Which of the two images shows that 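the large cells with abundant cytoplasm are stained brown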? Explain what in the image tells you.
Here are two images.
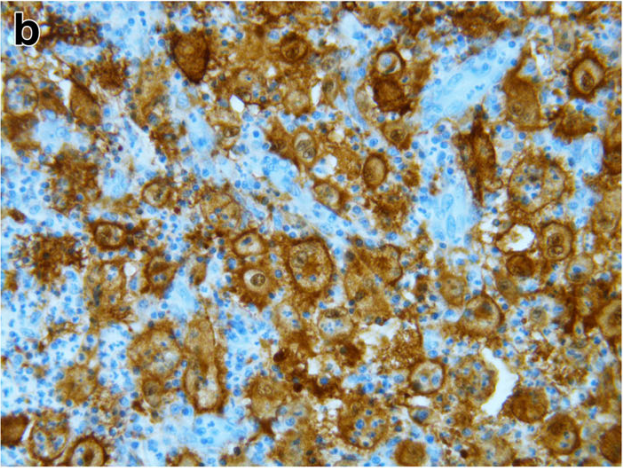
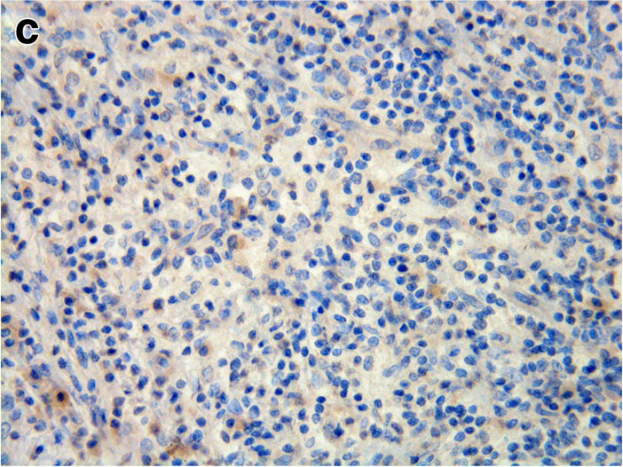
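Second image: cells are blue with at most faint traces of brown. First image: many large cells have strongly brown cytoplasm. That points to this answer: the first image.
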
